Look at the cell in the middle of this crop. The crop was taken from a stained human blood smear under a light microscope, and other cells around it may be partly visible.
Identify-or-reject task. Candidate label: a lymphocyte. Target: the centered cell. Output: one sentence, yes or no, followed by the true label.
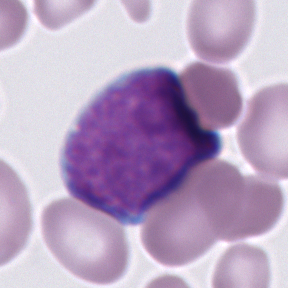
No, the cell in the centre is to be called a blast instead of a lymphocyte.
